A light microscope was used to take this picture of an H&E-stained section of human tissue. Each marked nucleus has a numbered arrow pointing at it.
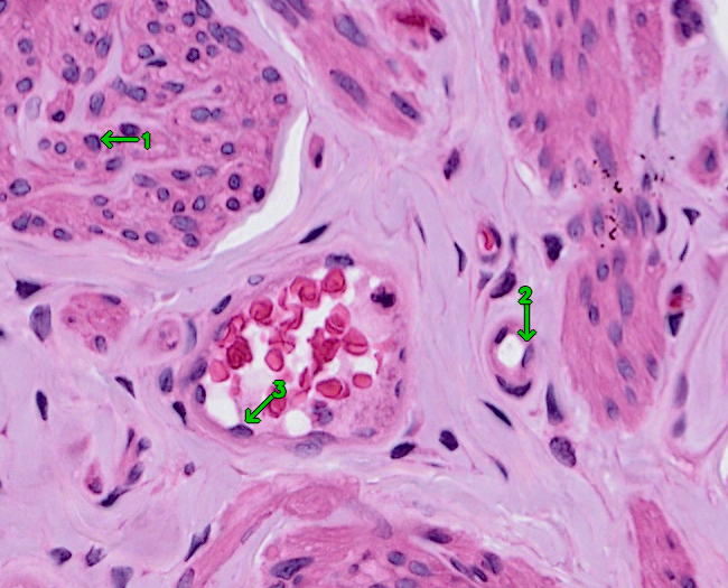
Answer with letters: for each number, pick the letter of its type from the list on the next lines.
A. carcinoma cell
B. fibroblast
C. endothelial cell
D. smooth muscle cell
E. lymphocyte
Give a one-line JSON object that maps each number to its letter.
{"1": "D", "2": "C", "3": "C"}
